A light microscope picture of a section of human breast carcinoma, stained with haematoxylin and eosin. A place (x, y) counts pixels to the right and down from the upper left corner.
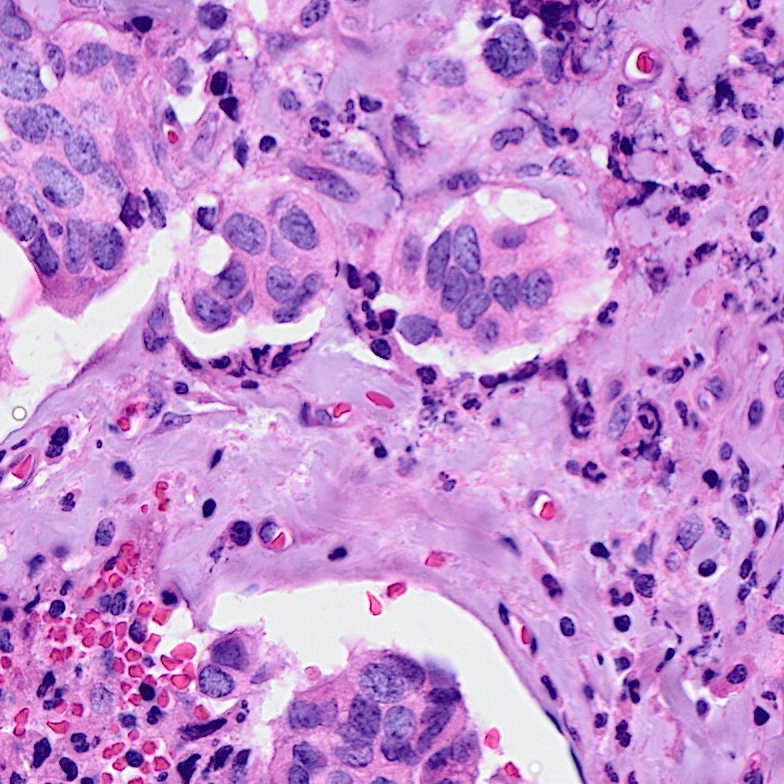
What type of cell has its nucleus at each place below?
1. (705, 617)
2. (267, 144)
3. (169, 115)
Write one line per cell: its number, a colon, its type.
1: mast cell
2: lymphocyte
3: endothelial cell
